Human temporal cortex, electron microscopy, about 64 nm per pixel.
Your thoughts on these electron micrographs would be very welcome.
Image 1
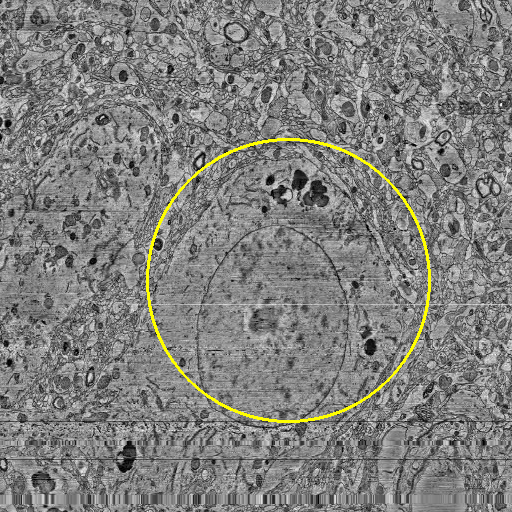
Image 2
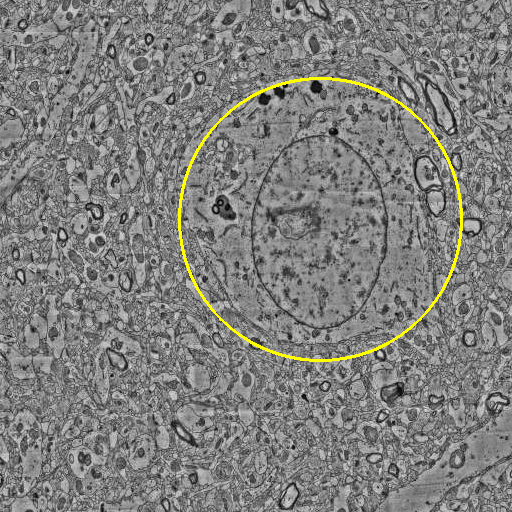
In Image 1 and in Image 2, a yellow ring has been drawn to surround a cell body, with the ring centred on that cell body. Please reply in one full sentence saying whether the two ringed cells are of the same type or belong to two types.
The ringed cells in Image 1 and Image 2 are of the same type.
